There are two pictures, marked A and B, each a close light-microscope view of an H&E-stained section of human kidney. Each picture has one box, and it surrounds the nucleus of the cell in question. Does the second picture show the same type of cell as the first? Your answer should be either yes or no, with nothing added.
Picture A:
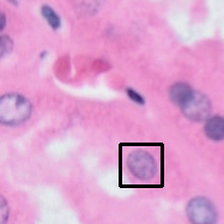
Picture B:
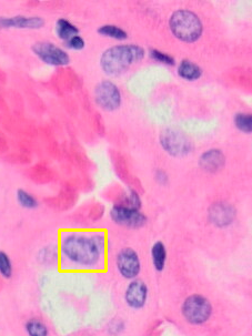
no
